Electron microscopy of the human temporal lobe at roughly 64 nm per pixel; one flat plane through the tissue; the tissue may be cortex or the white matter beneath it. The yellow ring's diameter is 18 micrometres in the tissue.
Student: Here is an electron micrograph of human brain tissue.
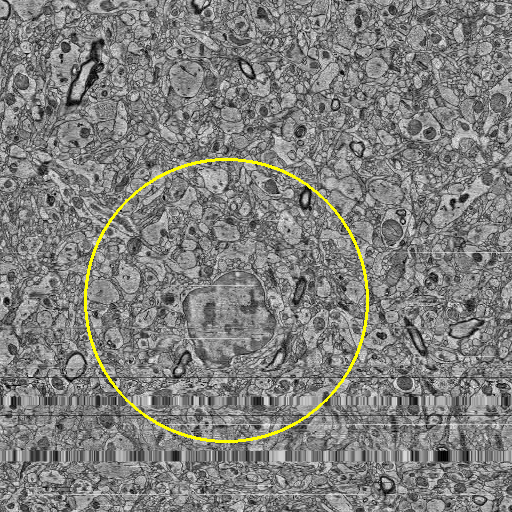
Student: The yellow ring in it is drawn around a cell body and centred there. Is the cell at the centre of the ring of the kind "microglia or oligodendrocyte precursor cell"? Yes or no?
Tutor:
yes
